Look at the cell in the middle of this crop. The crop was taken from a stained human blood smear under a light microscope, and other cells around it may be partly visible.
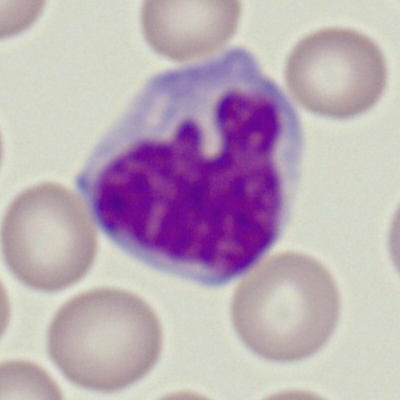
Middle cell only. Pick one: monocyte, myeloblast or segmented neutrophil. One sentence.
Classification of the middle cell gives a monocyte.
